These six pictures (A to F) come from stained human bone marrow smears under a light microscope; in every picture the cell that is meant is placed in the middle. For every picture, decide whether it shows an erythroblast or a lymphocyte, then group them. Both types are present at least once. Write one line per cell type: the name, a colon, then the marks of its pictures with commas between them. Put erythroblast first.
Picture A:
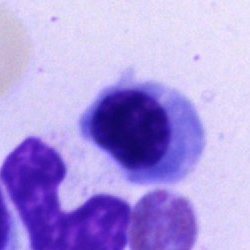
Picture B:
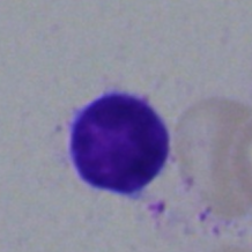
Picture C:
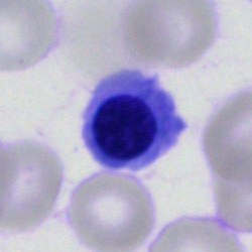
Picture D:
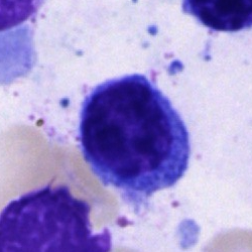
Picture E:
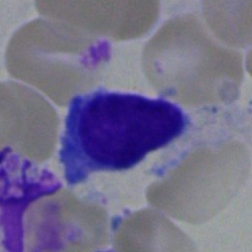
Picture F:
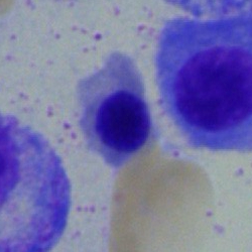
erythroblast: A, C, F
lymphocyte: B, D, E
